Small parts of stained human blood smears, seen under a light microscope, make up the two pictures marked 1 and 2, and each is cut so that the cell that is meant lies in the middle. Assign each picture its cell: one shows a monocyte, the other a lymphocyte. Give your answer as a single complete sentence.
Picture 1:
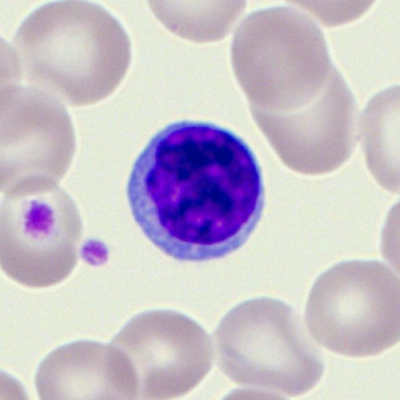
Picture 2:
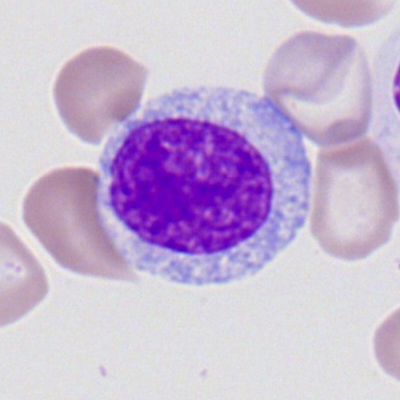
The cell in picture 1 is a lymphocyte, and the one in picture 2 is a monocyte.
